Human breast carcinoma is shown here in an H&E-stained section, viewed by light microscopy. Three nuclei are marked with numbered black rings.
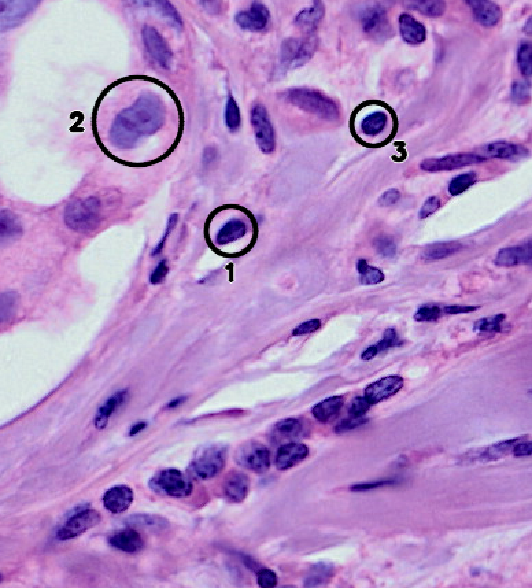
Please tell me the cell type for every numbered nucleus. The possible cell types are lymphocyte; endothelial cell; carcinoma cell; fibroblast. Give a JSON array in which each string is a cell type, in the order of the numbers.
["lymphocyte", "carcinoma cell", "lymphocyte"]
